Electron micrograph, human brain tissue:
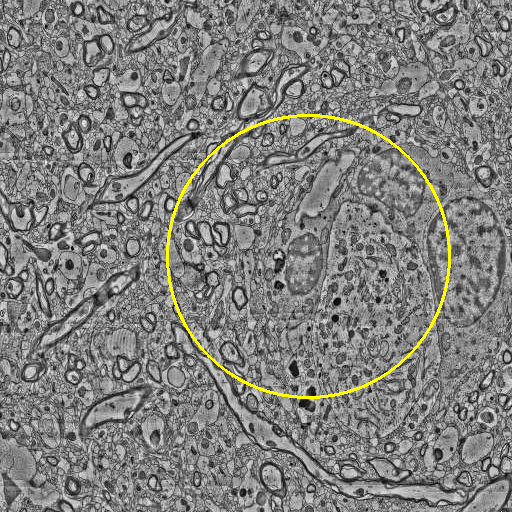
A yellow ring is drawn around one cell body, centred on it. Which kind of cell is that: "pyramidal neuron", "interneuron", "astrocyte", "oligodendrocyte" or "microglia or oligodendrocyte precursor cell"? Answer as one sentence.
It is an oligodendrocyte at the centre of the ring.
